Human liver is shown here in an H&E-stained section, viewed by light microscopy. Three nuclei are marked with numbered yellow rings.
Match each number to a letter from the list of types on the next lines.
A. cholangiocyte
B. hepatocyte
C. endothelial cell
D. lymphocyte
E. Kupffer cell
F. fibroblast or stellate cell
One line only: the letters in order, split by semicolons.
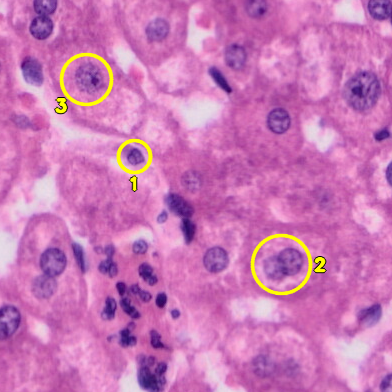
E; B; B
